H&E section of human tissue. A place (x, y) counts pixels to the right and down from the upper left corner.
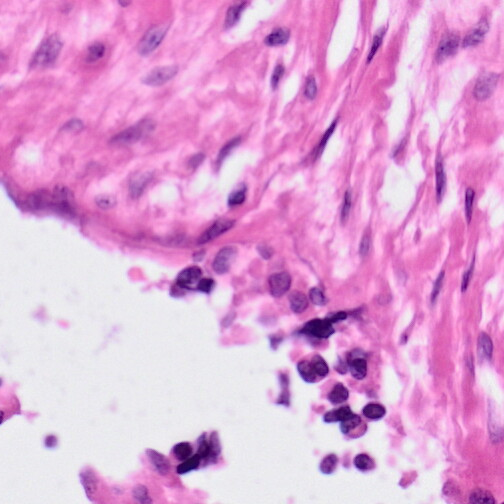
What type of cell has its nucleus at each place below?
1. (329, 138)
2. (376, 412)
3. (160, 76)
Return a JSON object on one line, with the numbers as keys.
{"1": "fibroblast", "2": "carcinoma cell", "3": "fibroblast"}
